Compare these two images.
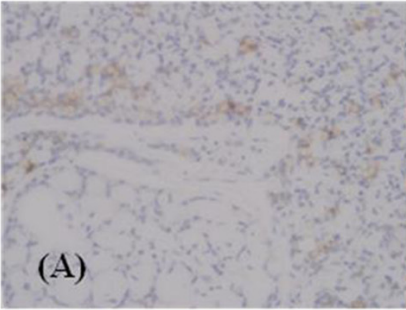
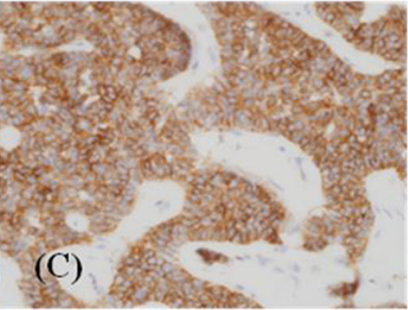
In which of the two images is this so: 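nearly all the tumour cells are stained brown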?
the second image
